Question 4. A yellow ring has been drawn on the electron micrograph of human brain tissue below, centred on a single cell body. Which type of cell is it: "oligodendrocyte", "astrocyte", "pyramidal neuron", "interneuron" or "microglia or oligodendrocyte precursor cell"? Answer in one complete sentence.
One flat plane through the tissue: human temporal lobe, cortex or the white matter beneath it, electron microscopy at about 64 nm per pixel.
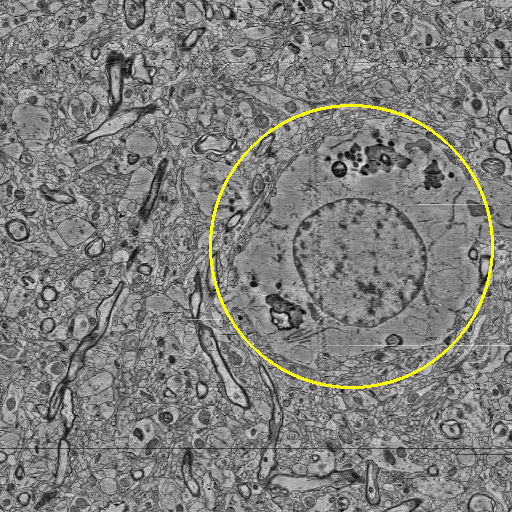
This cell body belongs to an astrocyte.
